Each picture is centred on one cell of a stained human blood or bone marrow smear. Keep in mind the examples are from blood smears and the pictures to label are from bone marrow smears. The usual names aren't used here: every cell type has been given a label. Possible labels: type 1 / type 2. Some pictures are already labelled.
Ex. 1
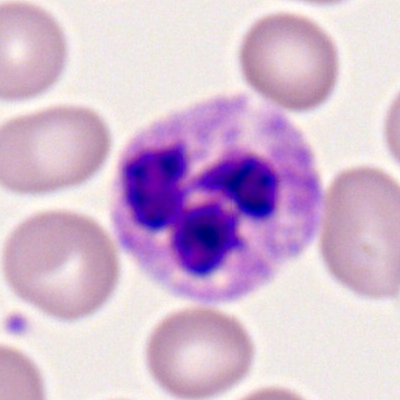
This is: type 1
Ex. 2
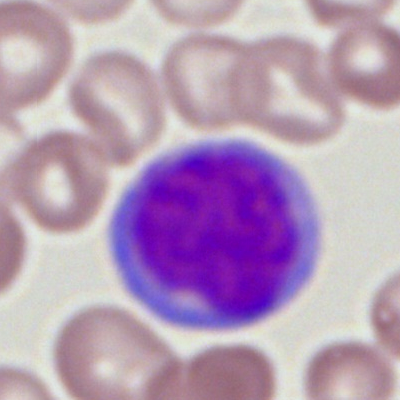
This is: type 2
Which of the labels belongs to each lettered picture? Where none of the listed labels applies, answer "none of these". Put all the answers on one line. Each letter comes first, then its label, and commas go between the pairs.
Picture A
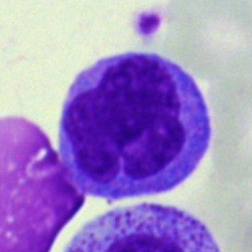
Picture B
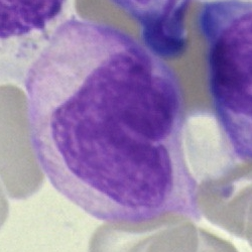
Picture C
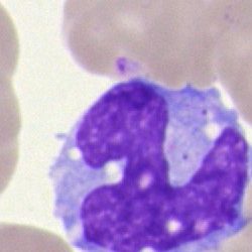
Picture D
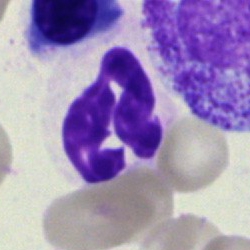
A type 2, B type 2, C type 2, D type 1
